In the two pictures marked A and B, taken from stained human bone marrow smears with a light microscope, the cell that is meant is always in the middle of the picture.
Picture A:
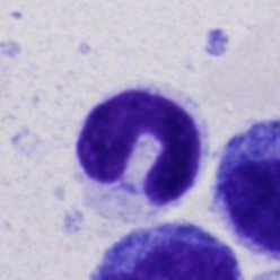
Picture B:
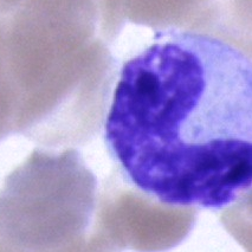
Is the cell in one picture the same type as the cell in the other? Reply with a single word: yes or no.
yes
